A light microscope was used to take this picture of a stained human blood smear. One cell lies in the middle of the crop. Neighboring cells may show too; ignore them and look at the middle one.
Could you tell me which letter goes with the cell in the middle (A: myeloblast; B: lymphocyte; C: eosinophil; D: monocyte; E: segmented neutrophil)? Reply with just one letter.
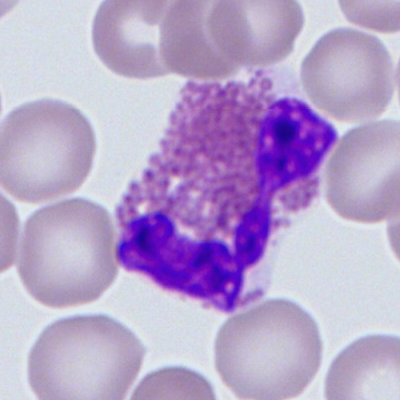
C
